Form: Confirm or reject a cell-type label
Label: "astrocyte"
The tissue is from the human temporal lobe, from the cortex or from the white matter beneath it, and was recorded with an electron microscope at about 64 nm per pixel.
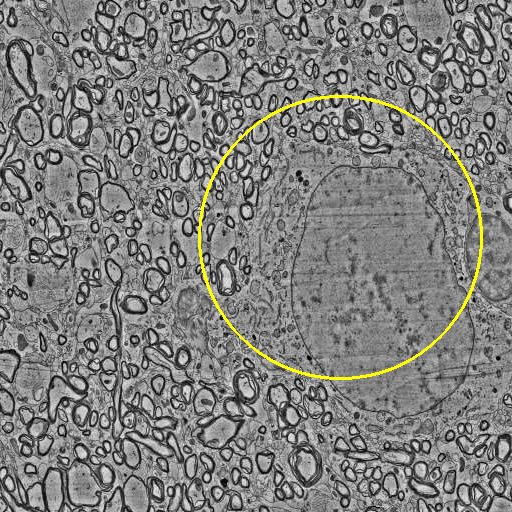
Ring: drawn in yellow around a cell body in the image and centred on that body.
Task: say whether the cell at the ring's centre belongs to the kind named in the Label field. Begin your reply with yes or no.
No, it belongs to another kind.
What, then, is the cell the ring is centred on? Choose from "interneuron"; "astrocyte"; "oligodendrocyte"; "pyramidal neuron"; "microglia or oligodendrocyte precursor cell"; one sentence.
The cell marked by the ring is a pyramidal neuron.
